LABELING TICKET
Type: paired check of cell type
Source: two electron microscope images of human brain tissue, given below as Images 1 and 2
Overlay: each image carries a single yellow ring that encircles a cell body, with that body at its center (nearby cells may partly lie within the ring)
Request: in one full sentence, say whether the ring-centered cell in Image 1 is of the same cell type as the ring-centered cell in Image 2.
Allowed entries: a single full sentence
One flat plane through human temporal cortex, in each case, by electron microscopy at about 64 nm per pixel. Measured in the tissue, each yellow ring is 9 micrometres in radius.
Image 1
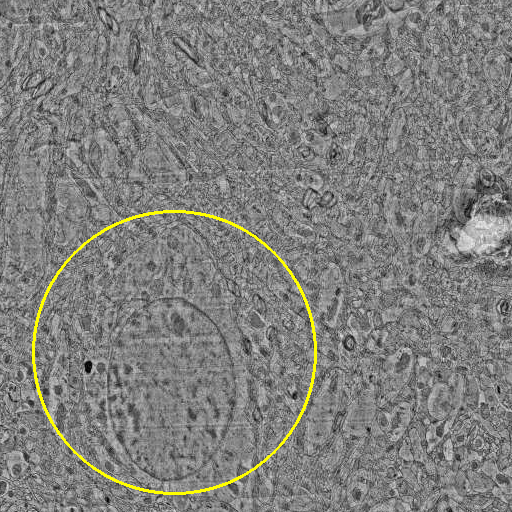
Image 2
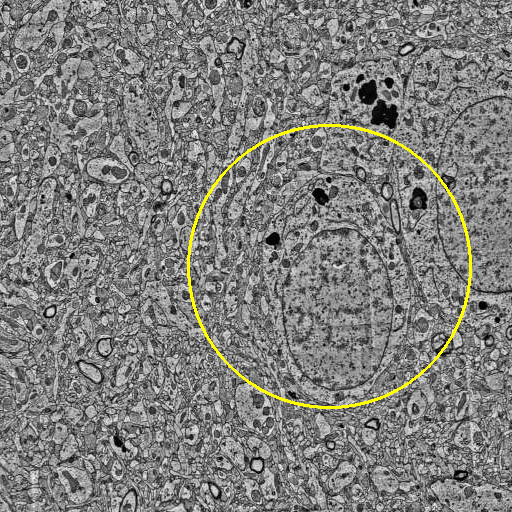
Yes, the cells centered in the rings of Image 1 and Image 2 share one type.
